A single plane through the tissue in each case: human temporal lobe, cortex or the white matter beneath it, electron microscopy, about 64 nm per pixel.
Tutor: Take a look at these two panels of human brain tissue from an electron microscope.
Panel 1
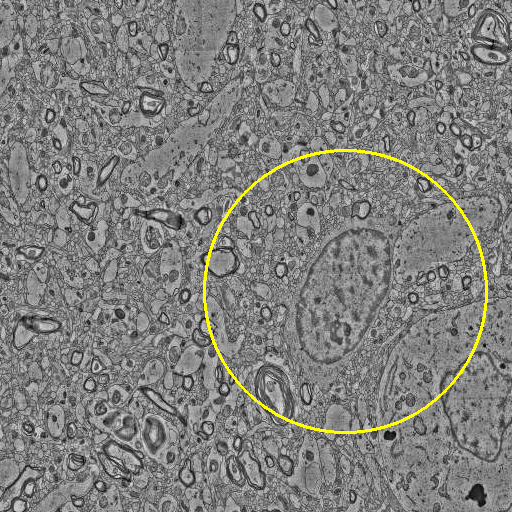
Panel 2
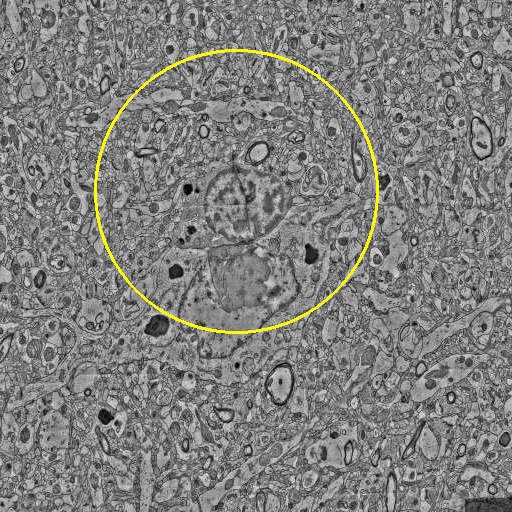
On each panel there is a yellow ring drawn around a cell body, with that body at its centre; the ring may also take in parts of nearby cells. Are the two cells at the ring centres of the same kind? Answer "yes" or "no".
yes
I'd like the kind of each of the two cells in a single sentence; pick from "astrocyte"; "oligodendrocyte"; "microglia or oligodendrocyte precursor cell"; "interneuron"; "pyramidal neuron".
The cell at the ring centre is an oligodendrocyte in both pictures.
